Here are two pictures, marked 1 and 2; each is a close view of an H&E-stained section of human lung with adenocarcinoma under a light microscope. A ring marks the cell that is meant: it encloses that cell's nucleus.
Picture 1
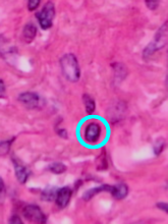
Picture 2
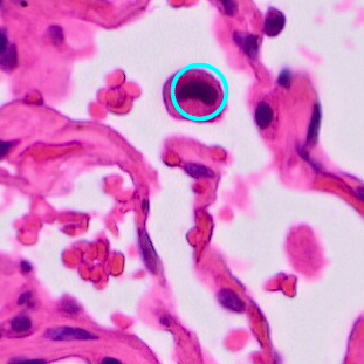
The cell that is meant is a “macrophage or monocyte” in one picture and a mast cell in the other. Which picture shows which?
1: mast cell
2: macrophage or monocyte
